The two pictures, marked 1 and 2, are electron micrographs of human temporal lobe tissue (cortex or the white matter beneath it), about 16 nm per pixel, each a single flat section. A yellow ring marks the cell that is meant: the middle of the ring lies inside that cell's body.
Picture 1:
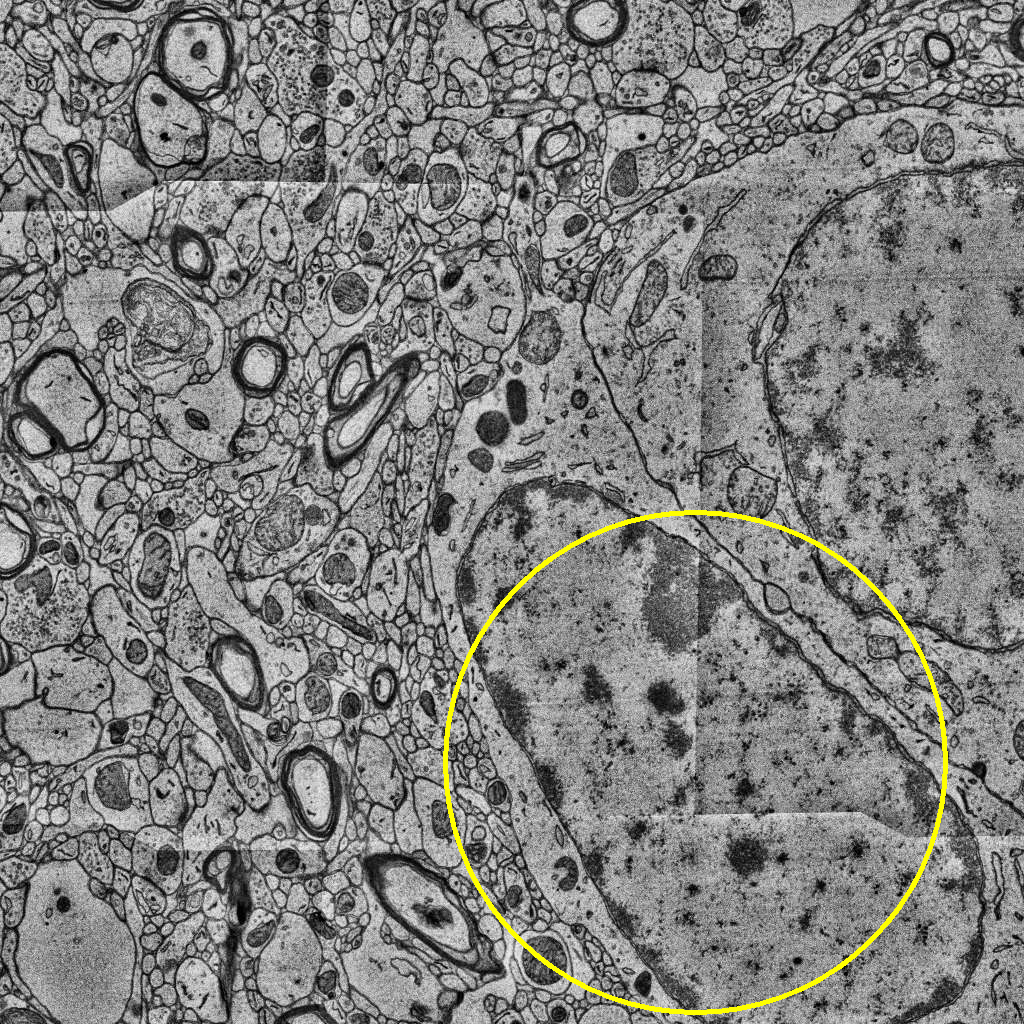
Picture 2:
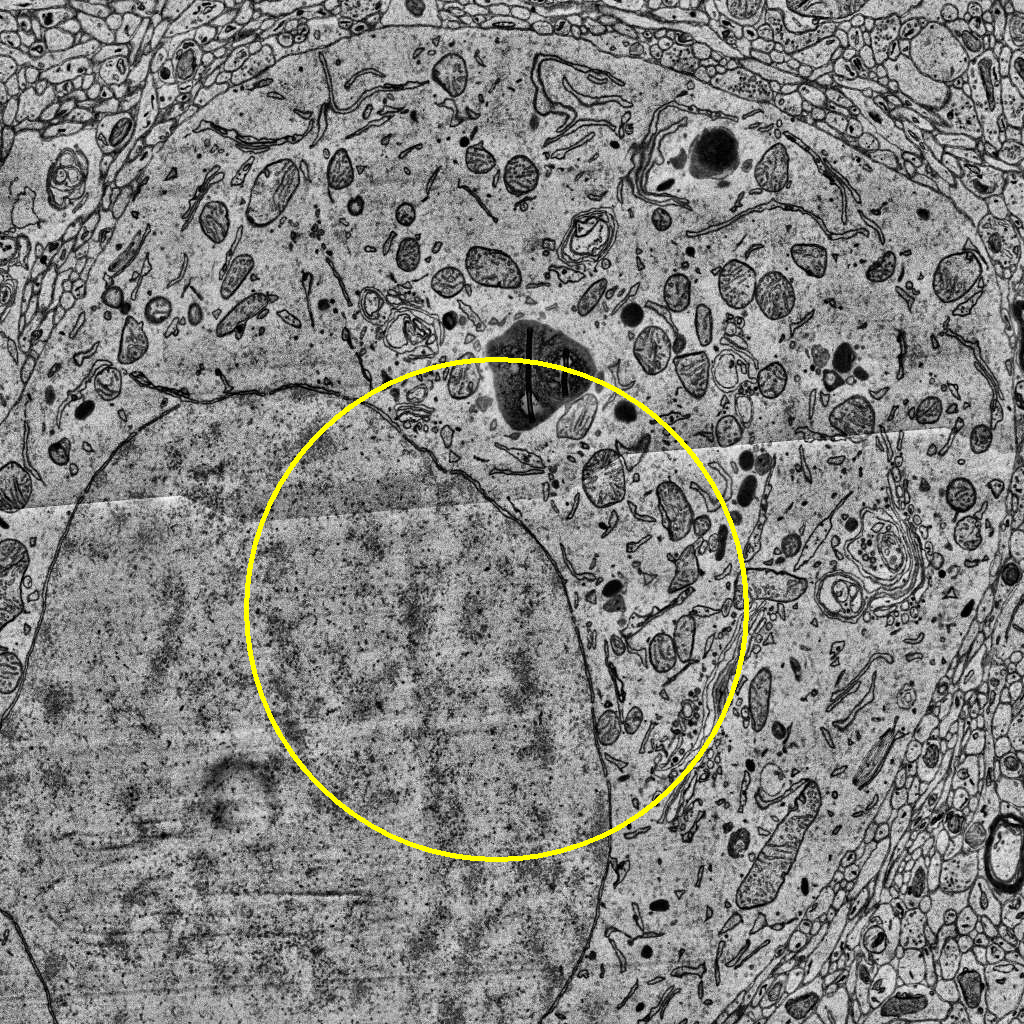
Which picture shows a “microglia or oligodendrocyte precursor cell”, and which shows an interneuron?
Picture 2 shows an interneuron, while picture 1 shows a “microglia or oligodendrocyte precursor cell”.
